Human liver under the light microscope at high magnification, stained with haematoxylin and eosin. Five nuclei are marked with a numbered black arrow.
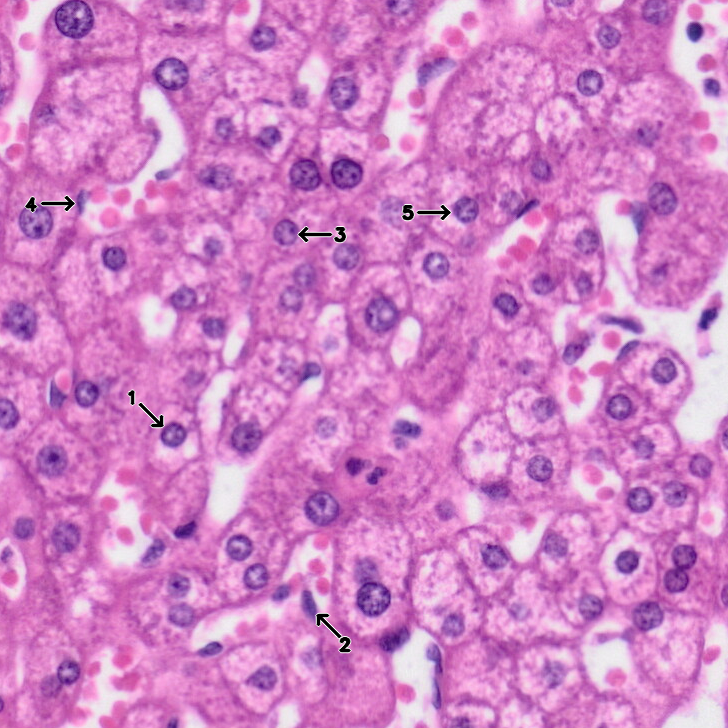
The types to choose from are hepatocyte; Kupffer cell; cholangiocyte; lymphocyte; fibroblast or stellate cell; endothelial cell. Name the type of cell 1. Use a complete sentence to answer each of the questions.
Recognised here as a hepatocyte is the cell numbered 1.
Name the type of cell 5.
The cell numbered 5 represents a hepatocyte.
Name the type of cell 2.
Number 2 among the marked cells is a Kupffer cell.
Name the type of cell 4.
Cell 4 in the field of view is an endothelial cell.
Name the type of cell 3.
Recognised here as a hepatocyte is the cell numbered 3.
